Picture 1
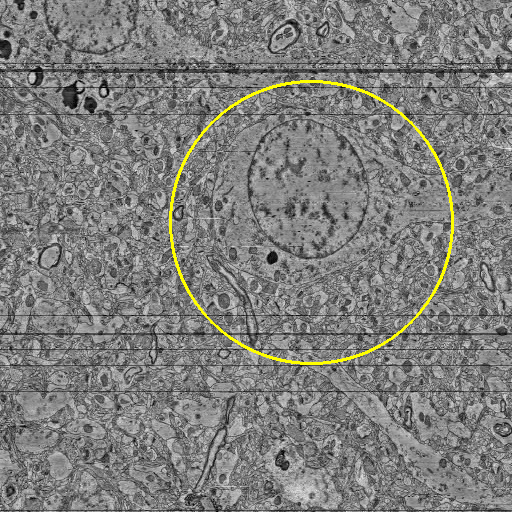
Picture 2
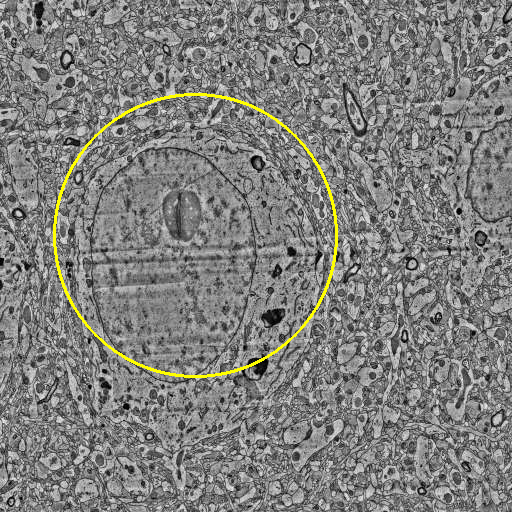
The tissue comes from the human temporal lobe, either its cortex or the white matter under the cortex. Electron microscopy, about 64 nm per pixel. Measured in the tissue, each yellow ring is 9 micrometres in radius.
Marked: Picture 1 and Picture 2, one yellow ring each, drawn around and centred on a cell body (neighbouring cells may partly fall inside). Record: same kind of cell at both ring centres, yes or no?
yes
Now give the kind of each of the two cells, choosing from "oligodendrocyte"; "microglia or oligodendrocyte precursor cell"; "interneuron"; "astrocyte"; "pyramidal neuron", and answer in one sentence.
The second cell is a pyramidal neuron, just as the first is.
